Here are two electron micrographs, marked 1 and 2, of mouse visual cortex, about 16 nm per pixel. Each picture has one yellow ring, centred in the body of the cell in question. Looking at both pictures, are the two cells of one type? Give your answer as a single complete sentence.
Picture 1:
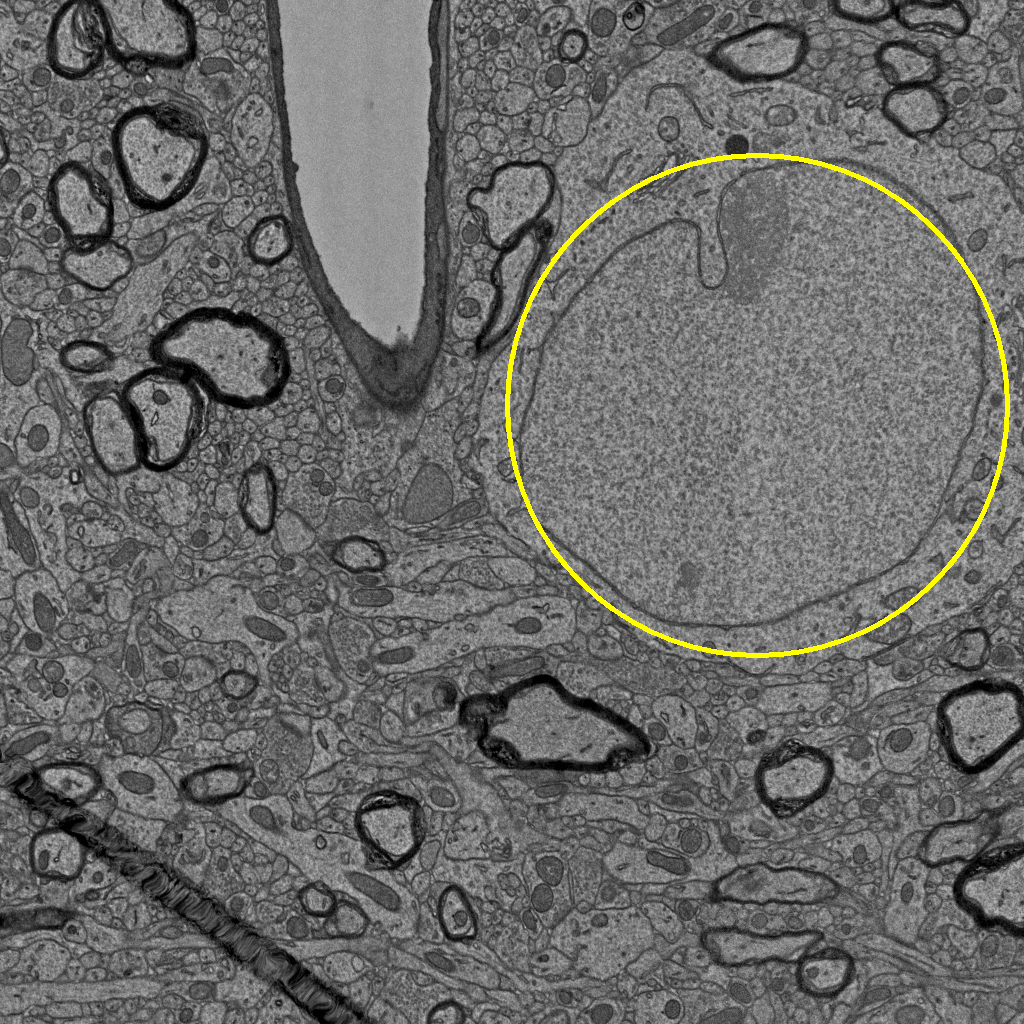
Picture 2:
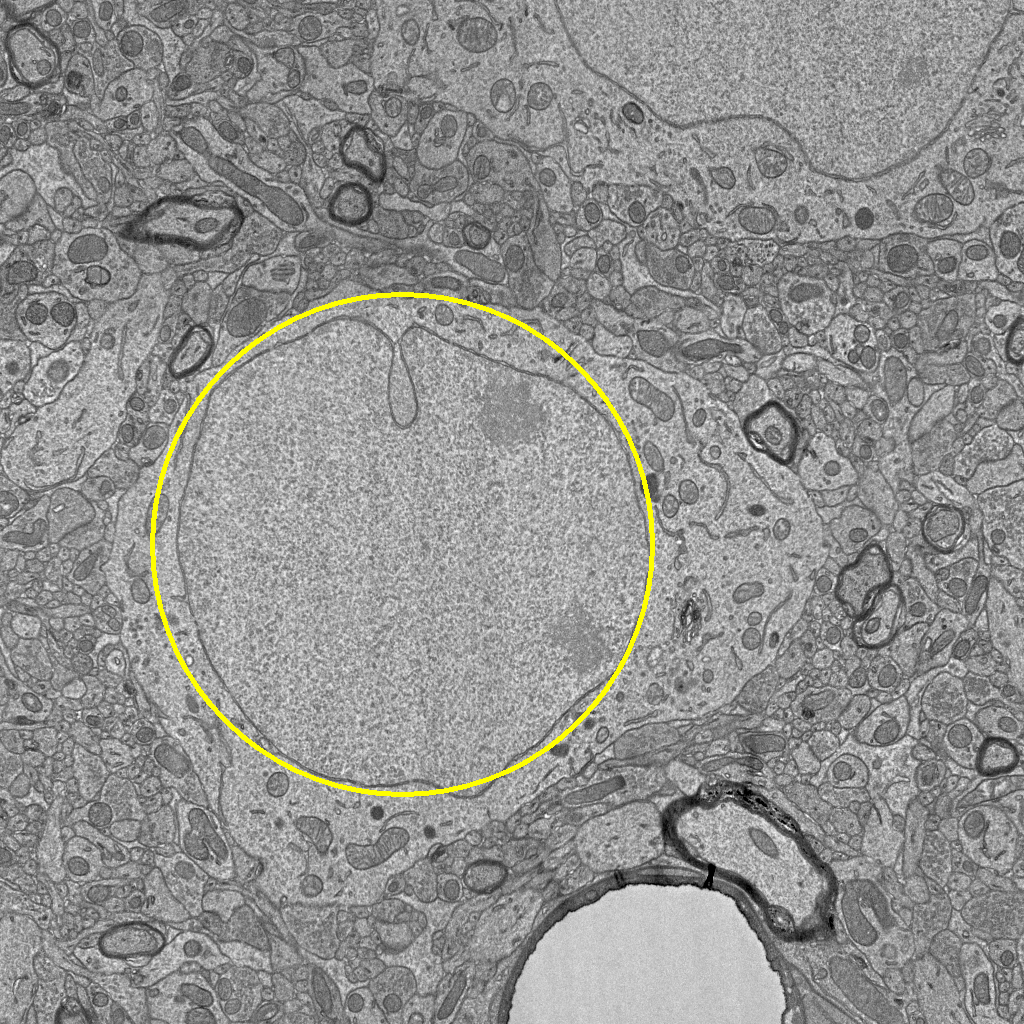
Yes, they are the same type: both are excitatory neurons.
